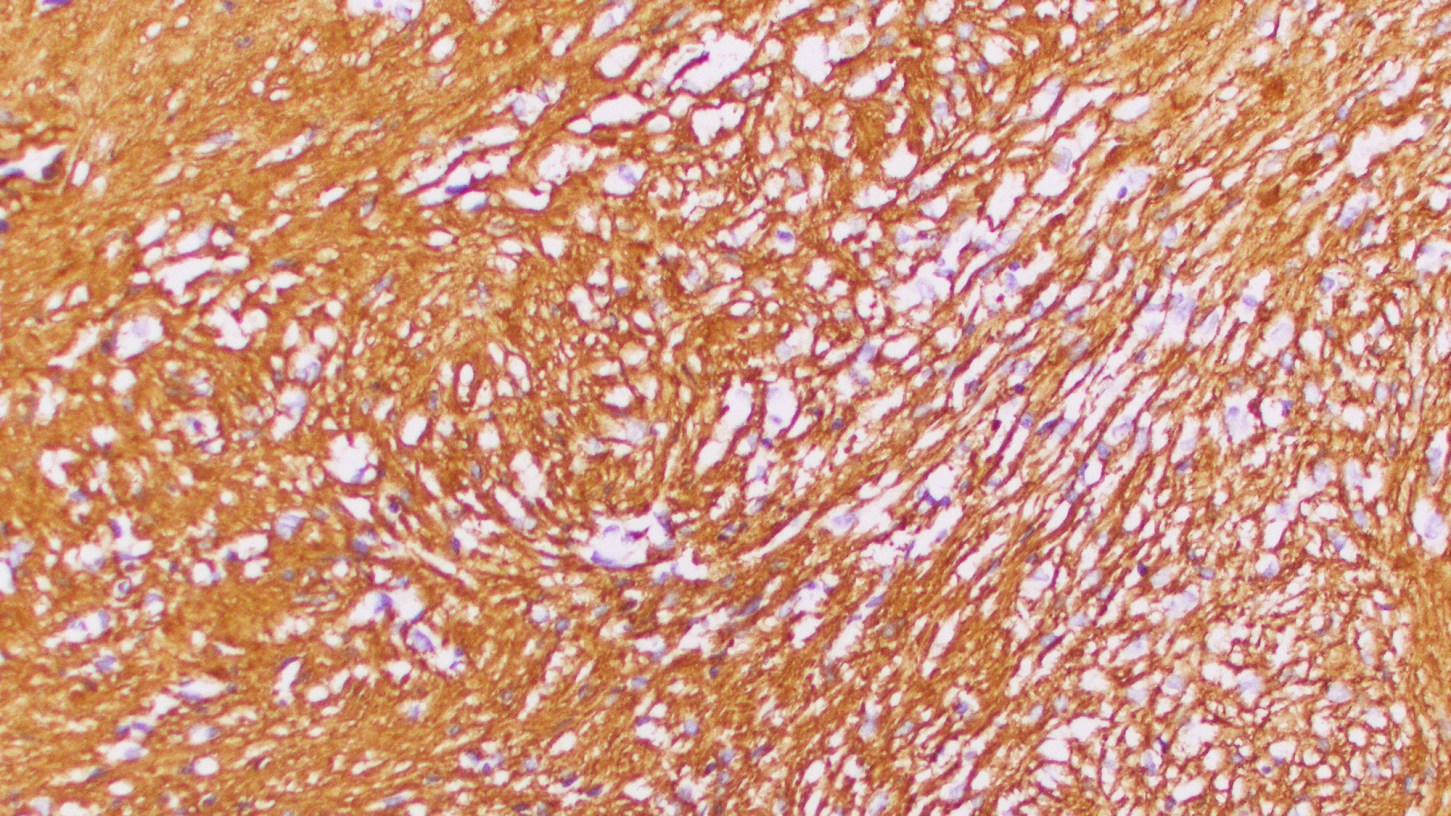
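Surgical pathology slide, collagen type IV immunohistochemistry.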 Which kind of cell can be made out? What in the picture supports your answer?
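Schwannoma cells. Elongated spindle cells arranged in streaming, swirling fascicles. Denser fascicular areas alternate with looser, vacuolated areas. Brown stain is pericellular, around individual cells.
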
